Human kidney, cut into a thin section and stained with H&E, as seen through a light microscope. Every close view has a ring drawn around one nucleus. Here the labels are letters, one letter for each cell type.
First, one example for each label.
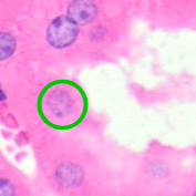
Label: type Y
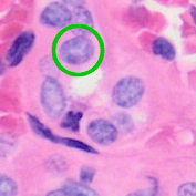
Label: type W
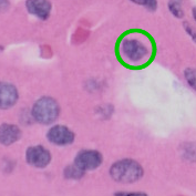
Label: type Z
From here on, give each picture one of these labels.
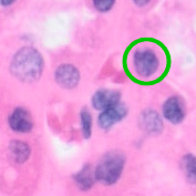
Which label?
type Z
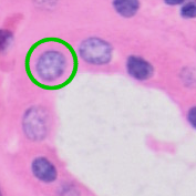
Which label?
type Z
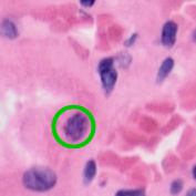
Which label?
type Y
